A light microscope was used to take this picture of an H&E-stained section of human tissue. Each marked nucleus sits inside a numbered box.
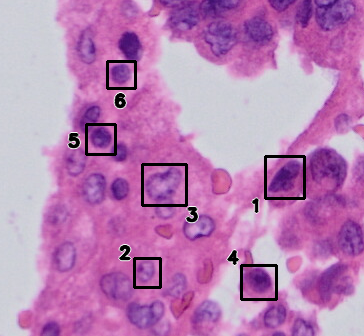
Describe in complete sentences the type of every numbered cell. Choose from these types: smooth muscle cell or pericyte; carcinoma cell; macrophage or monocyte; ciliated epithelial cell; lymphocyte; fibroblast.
Cell 1 is a carcinoma cell. Cells 2, 3 and 4 are macrophages or monocytes. Cells 5 and 6 are lymphocytes.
